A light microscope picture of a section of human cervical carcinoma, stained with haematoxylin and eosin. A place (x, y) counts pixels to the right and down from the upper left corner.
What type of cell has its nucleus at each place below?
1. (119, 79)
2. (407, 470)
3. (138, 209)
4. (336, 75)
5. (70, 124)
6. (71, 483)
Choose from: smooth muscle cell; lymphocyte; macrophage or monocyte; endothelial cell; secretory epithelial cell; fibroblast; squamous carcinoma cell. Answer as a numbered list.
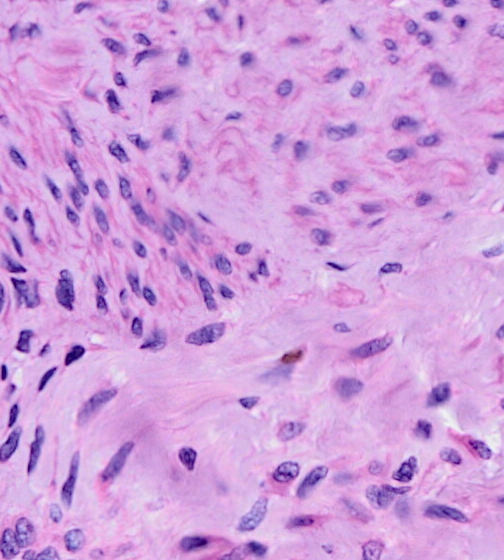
1. smooth muscle cell
2. lymphocyte
3. smooth muscle cell
4. smooth muscle cell
5. smooth muscle cell
6. fibroblast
